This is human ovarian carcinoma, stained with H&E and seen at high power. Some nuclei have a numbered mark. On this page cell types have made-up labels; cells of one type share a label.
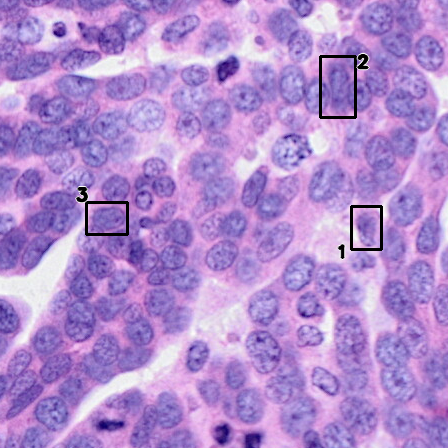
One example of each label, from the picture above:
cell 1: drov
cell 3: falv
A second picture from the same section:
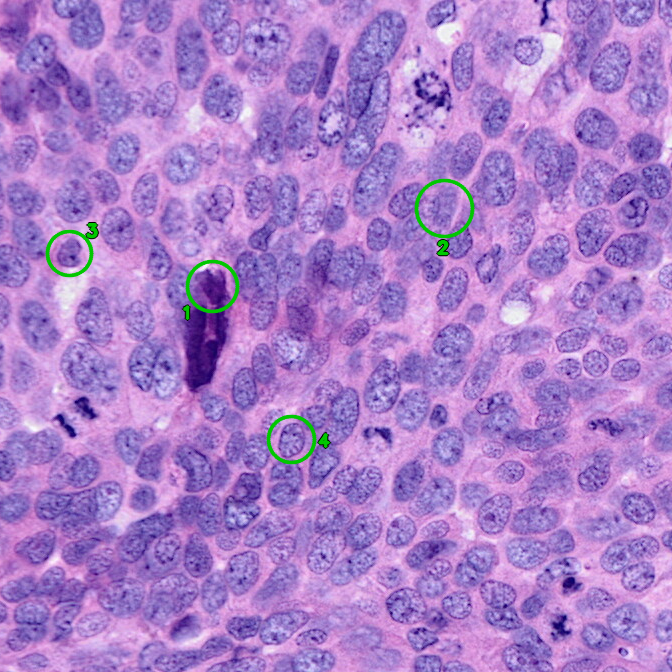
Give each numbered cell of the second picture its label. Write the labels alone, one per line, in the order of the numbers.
falv
falv
drov
falv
